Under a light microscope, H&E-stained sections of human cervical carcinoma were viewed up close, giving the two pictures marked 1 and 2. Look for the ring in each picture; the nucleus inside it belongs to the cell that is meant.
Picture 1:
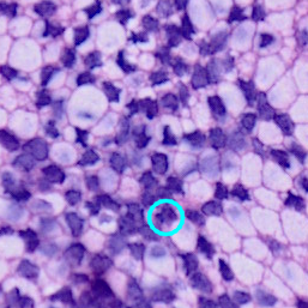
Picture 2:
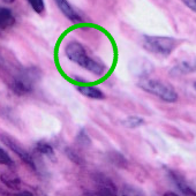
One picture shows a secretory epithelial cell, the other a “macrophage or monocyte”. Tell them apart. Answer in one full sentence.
The cell in picture 1 is a secretory epithelial cell, and the one in picture 2 is a “macrophage or monocyte”.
